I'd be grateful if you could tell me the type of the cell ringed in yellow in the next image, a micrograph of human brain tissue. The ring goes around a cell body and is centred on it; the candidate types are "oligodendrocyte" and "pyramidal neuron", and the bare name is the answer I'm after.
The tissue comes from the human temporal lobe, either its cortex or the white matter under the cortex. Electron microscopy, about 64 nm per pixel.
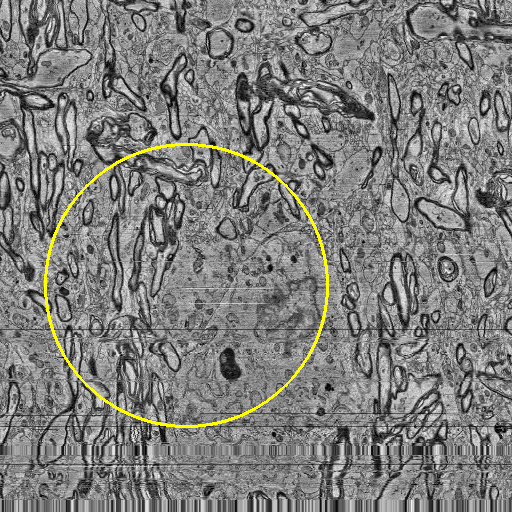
oligodendrocyte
